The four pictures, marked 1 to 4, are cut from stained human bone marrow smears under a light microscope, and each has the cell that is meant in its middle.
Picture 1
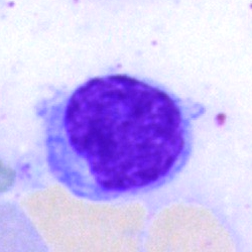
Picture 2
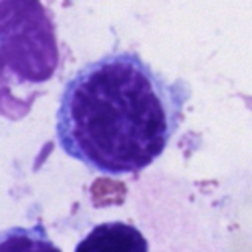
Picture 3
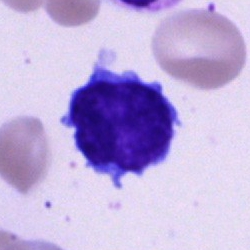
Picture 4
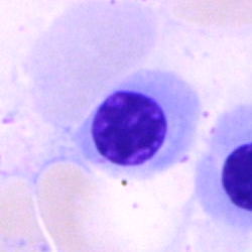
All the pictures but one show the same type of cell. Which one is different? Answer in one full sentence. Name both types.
Unlike the rest, which show lymphocytes, picture 4 shows an erythroblast.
